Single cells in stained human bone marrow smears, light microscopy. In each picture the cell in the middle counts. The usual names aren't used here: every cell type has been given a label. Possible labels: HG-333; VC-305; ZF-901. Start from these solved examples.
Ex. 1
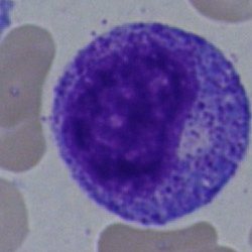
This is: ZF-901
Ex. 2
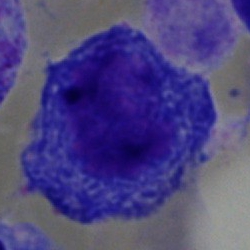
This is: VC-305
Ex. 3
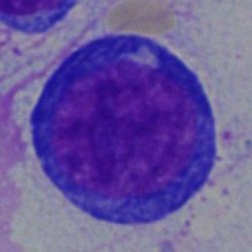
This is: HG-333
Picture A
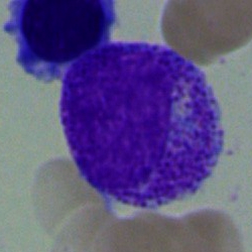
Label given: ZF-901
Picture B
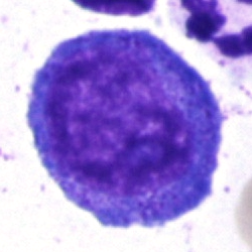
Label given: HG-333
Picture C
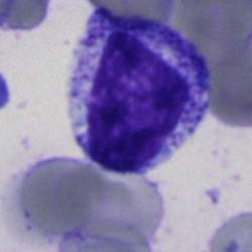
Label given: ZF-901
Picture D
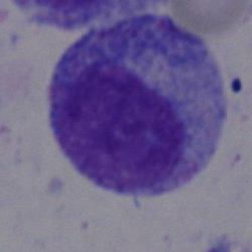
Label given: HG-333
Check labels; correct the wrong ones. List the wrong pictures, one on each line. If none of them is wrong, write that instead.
Wrong: D (HG-333); correct: VC-305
